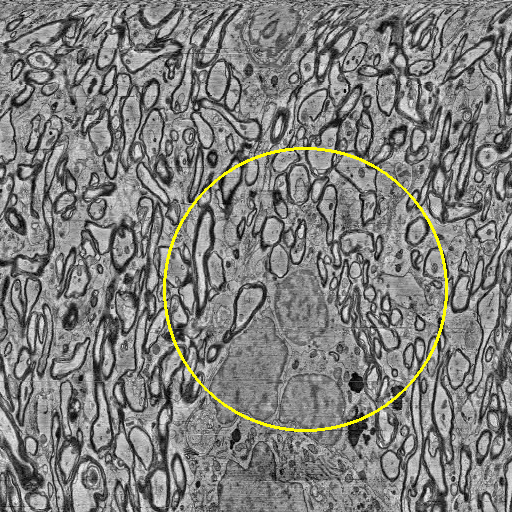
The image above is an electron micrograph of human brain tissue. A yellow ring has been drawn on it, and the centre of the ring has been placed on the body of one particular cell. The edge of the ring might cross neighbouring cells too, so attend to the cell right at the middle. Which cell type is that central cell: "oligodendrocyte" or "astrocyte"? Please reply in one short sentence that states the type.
The central cell in the ring is an oligodendrocyte.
